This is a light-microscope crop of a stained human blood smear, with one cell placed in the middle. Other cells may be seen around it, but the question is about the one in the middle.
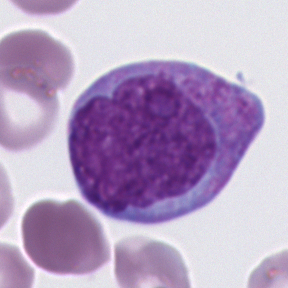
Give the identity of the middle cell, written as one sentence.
The centered cell in this crop is an atypical promyelocyte.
